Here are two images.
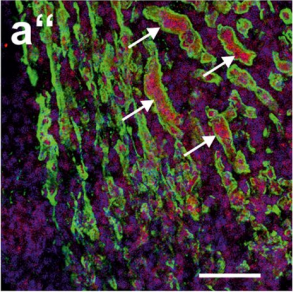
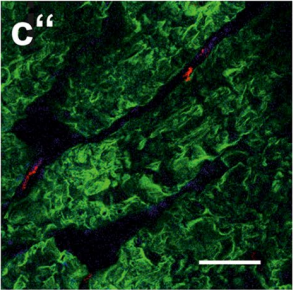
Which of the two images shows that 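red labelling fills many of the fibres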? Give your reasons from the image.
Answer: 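Second image: red appears only as a few small spots in the dark gap between green fibres. First image: many elongated green-rimmed fibres are filled with red. So: the first image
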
